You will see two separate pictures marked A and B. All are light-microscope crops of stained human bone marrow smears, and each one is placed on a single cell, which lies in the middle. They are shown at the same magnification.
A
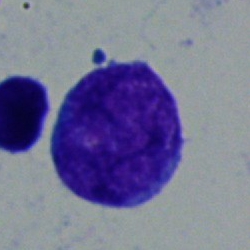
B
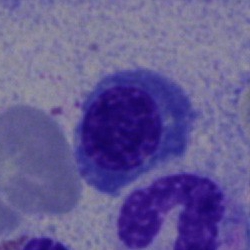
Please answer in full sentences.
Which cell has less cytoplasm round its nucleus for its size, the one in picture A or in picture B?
Of the two, the nucleus in picture A makes up the greater part of its cell.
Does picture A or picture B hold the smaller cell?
The cell in picture B is smaller; the one in picture A has about 1.5 times its area.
